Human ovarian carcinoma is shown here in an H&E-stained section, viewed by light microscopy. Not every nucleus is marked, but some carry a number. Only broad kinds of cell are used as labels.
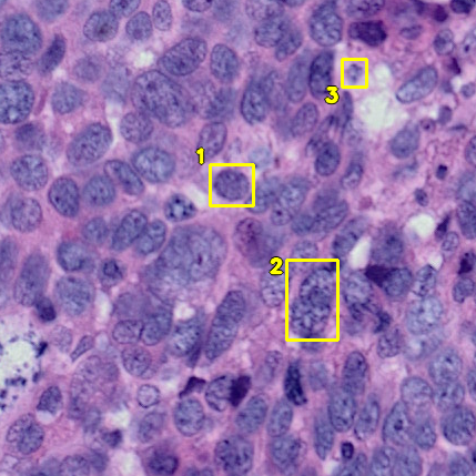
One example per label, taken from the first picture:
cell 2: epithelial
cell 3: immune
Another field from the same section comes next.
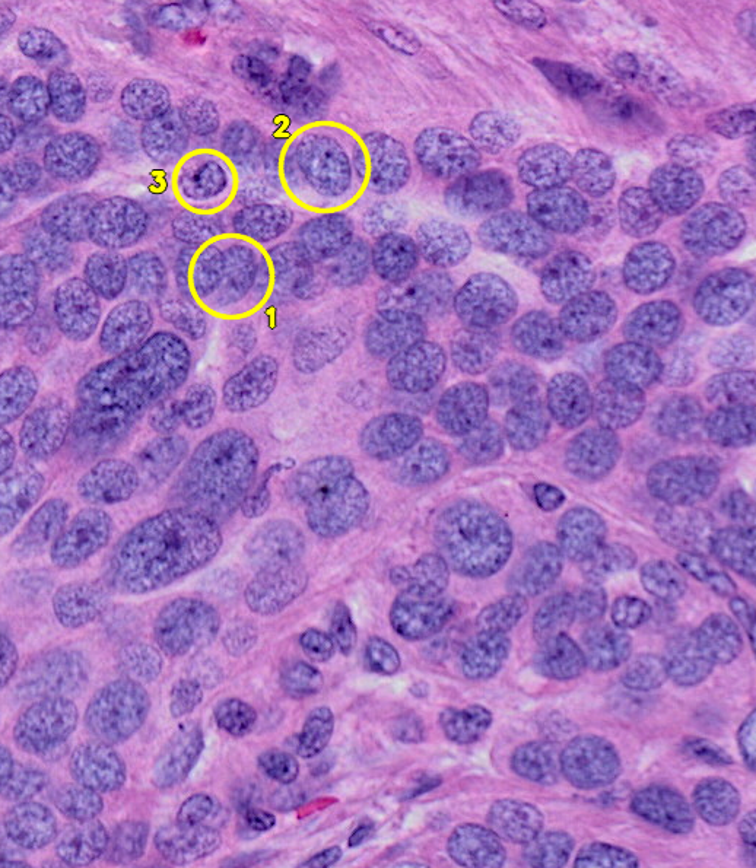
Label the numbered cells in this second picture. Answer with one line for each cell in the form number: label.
1: epithelial
2: epithelial
3: immune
